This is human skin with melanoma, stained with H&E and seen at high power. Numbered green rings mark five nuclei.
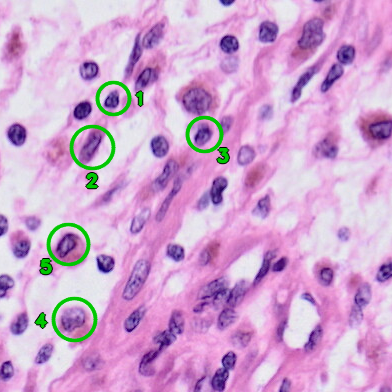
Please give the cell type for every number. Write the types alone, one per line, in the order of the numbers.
lymphocyte
macrophage or monocyte
lymphocyte
macrophage or monocyte
macrophage or monocyte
